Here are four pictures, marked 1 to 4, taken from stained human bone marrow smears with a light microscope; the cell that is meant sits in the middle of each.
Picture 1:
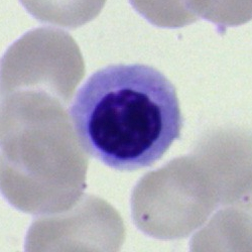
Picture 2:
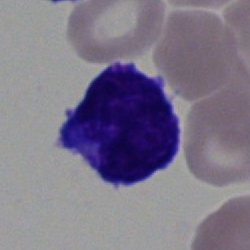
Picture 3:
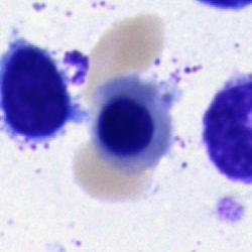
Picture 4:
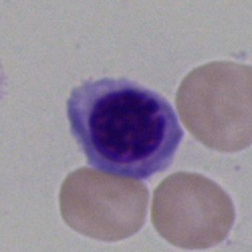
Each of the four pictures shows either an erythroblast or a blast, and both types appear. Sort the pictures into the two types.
1: erythroblast
2: blast
3: erythroblast
4: erythroblast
